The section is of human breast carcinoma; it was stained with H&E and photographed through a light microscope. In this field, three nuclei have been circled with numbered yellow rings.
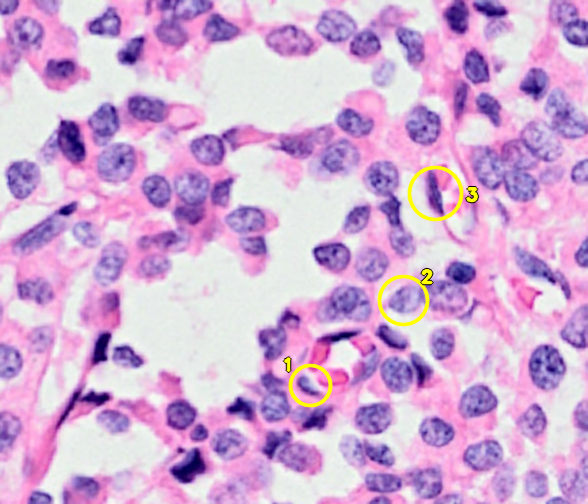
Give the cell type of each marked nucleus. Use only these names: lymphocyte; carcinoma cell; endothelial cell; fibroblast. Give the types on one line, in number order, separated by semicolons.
endothelial cell; carcinoma cell; endothelial cell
